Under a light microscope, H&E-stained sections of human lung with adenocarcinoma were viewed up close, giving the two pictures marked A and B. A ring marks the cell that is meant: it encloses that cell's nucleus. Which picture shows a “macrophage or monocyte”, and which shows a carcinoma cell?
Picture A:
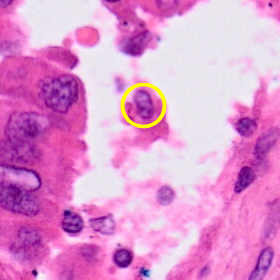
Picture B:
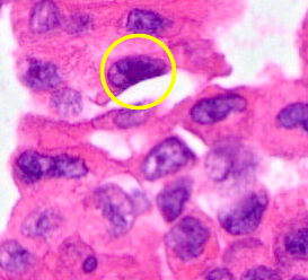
A: macrophage or monocyte
B: carcinoma cell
